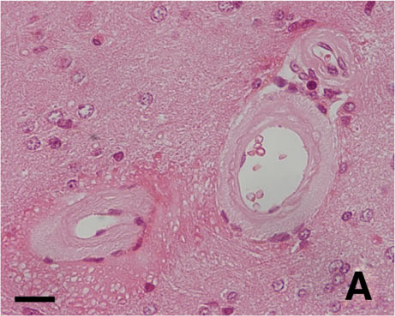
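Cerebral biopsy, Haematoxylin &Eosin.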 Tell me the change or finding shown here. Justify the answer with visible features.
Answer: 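Thickening of the wall of parenchymal arterioles. Two small vessels within brain tissue have broad, pale pink, homogeneous walls. The vessel walls are thick relative to their lumens and contain few nuclei.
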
